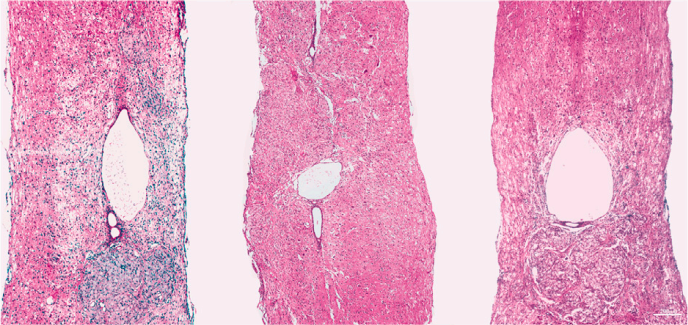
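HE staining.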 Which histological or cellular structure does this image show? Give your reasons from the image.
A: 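Each strip of tissue has a clear, unstained oval space near its middle. The clear spaces are surrounded by pink-stained tissue. On this evidence: cavity.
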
